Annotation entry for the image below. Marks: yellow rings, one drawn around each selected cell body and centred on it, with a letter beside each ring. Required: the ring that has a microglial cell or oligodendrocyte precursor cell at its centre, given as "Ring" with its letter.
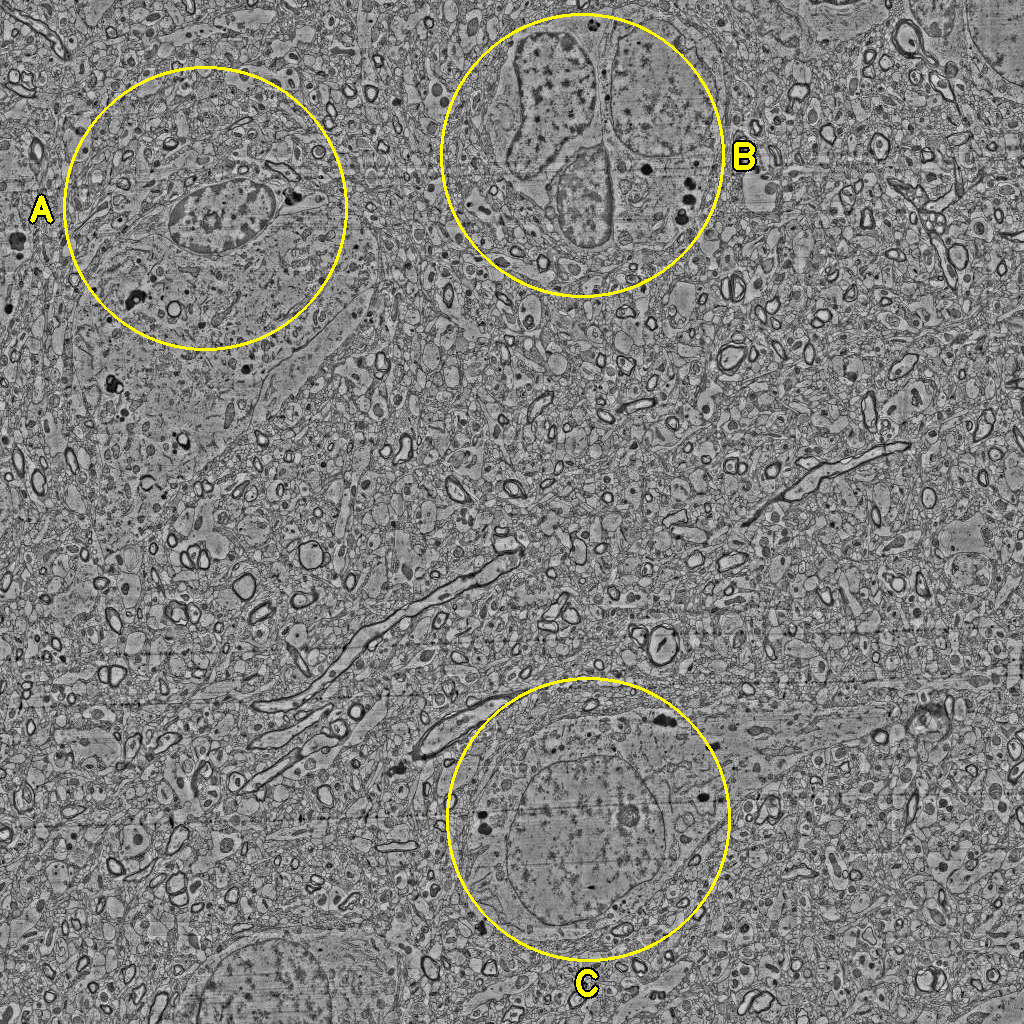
Ring A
